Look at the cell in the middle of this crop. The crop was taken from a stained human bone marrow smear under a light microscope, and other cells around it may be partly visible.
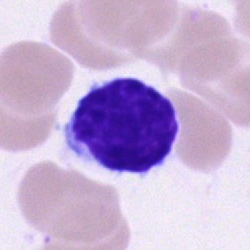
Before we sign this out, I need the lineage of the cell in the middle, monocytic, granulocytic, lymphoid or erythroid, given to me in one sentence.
The cell at the center of the crop has lymphoid lineage.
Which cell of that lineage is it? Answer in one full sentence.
What the crop centres on is a lymphocyte.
